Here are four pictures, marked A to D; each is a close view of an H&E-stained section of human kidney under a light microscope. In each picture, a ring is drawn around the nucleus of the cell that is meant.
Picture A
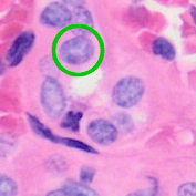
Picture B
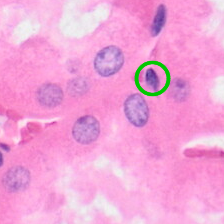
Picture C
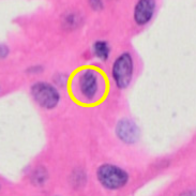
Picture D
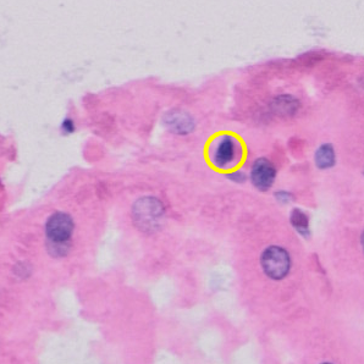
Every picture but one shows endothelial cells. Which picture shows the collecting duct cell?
A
